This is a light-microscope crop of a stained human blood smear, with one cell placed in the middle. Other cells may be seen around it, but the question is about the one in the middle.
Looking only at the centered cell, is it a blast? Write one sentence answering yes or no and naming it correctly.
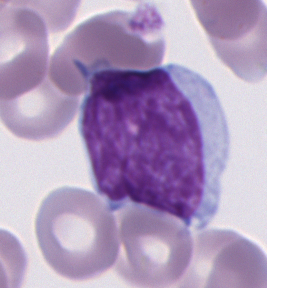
Yes, the crop's central cell is a blast.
